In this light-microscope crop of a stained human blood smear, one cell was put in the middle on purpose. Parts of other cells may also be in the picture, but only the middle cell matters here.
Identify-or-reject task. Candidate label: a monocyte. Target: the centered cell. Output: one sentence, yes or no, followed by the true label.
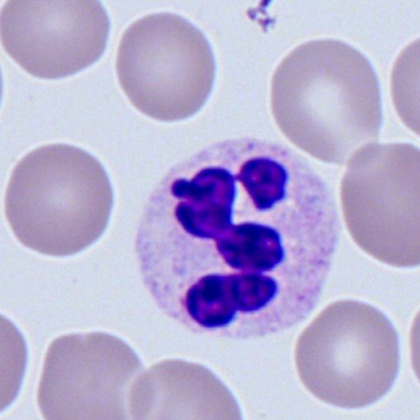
No, the cell of interest here is a segmented neutrophil and not a monocyte.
